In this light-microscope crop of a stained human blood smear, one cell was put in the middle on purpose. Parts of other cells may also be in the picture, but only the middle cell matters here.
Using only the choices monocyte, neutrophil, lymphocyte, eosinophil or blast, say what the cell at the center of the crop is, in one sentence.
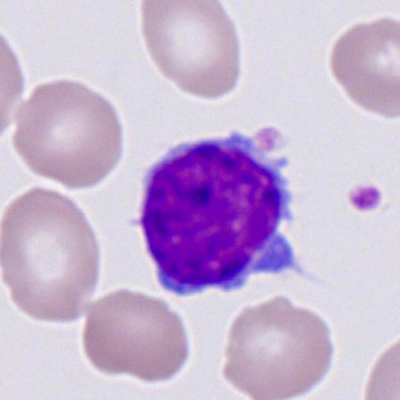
The centrally placed cell is classified as a lymphocyte.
